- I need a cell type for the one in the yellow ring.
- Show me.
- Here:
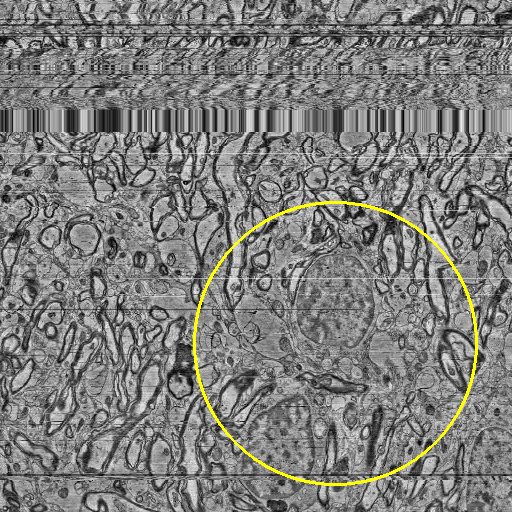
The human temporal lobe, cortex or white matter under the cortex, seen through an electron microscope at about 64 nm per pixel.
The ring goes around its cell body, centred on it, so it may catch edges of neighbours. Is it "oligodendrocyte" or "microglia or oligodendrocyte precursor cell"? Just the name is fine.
oligodendrocyte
